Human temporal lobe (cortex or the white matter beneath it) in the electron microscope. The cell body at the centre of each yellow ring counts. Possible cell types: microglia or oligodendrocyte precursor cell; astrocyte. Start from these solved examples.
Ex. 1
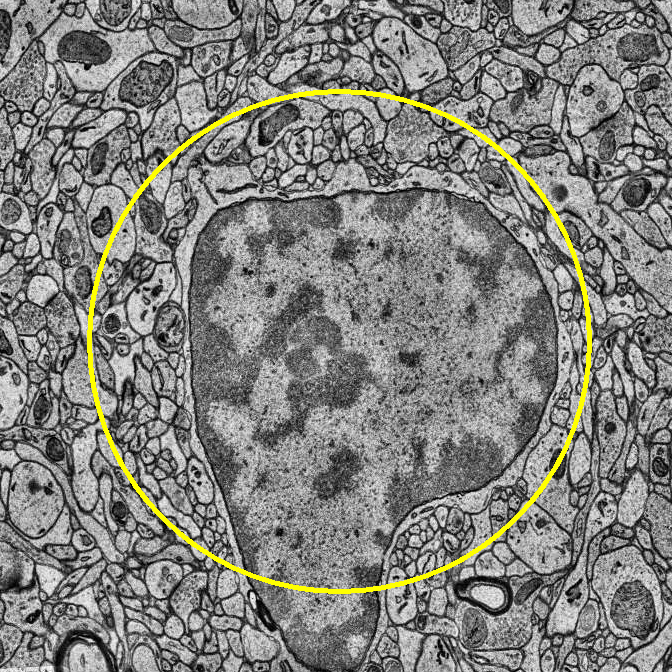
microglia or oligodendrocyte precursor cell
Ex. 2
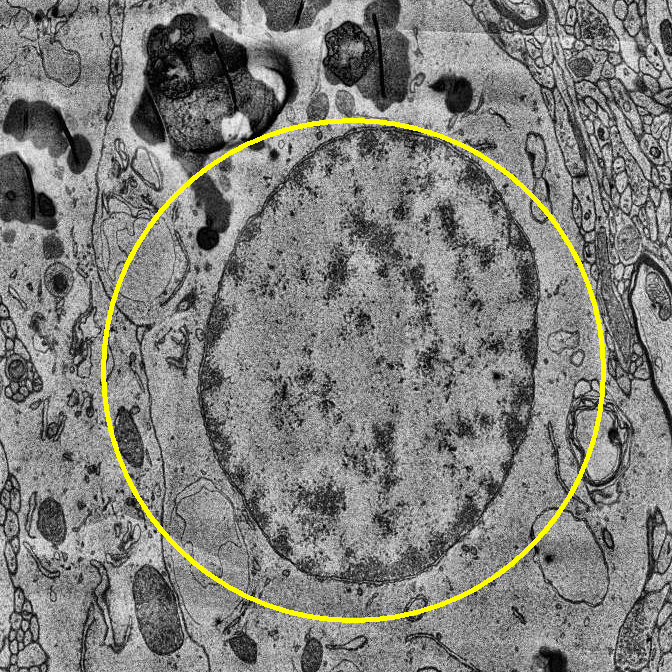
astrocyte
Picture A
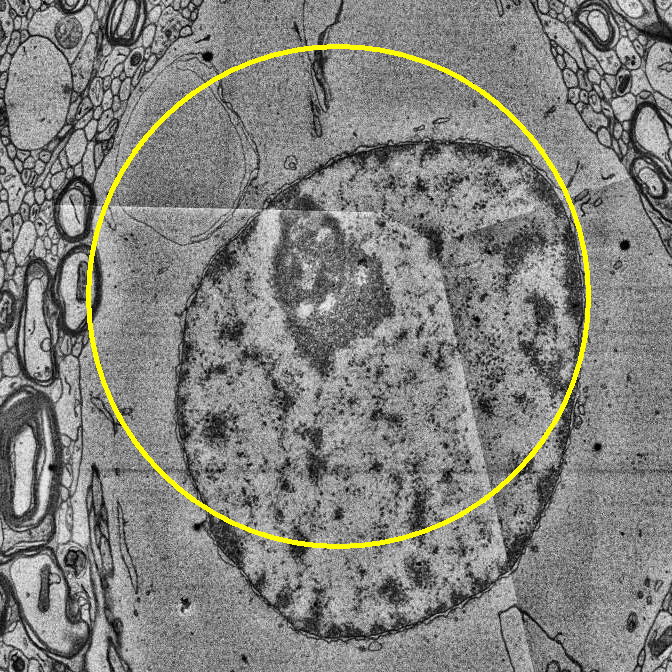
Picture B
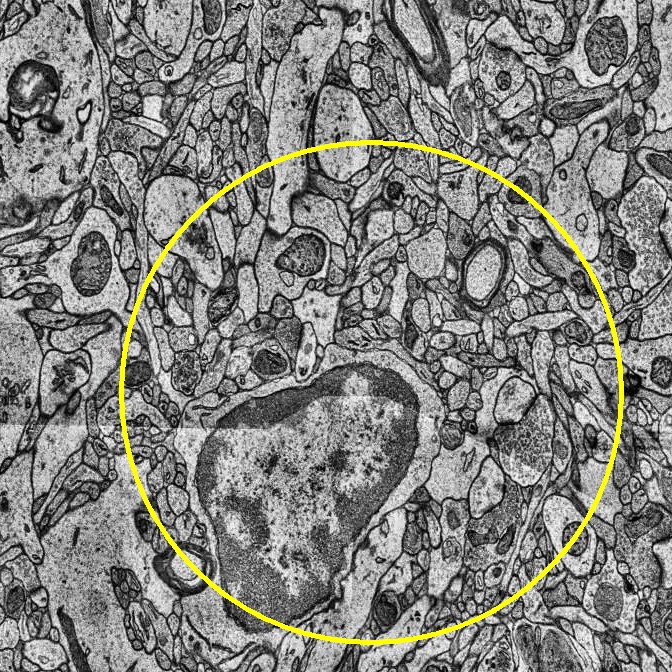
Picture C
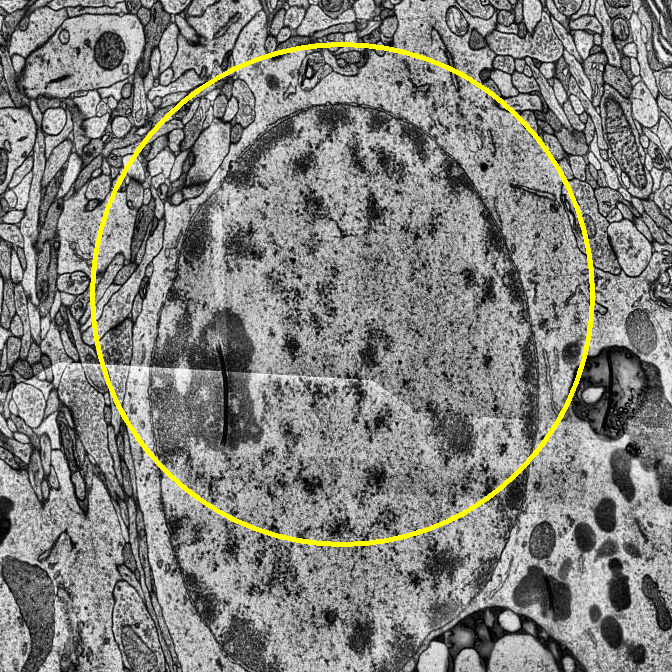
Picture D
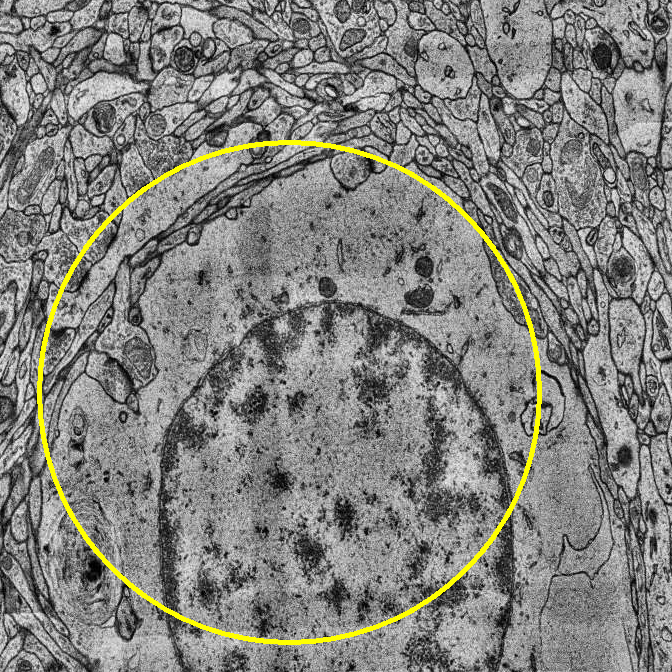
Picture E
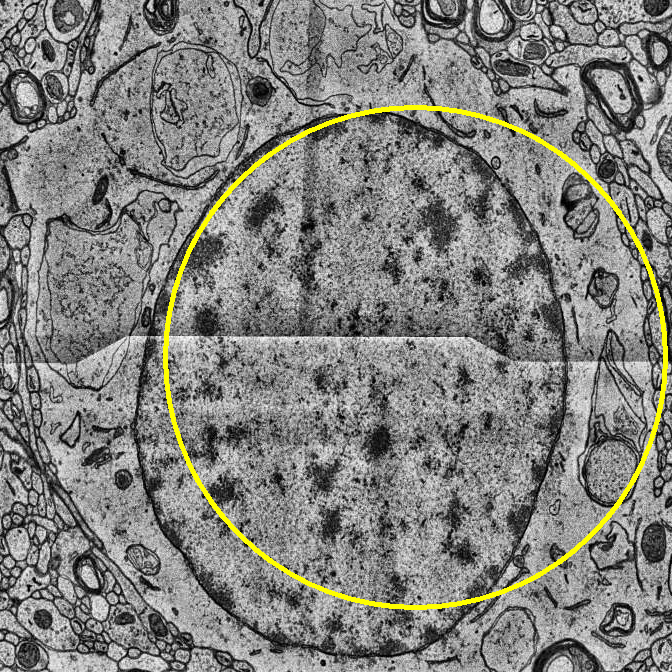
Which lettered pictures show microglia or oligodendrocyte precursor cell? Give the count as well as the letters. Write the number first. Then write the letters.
Count: 1 (B)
